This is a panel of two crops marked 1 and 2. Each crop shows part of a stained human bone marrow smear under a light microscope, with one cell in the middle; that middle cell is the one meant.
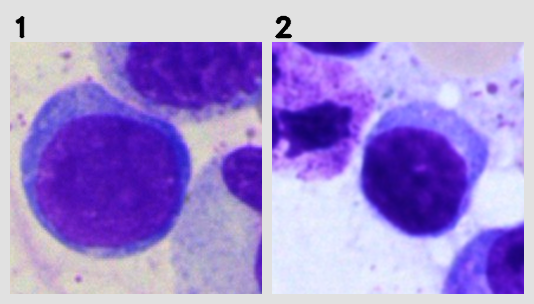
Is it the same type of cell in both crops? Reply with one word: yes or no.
yes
